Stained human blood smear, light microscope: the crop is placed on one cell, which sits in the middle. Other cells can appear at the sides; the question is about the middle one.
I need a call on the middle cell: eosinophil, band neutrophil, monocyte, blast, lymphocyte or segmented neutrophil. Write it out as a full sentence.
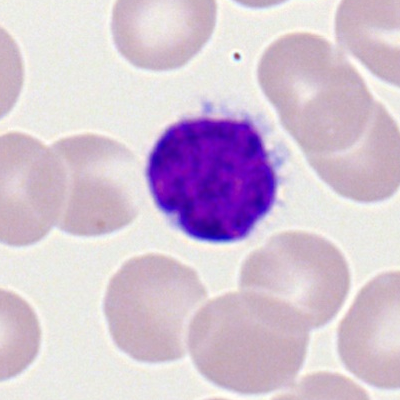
The cell centred in this crop is categorized as a lymphocyte.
